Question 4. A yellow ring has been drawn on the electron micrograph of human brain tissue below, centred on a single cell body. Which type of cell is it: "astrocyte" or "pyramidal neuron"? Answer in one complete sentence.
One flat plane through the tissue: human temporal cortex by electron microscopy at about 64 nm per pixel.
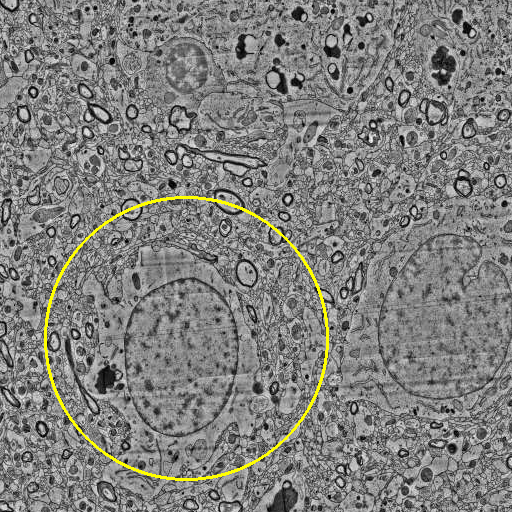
This cell body belongs to an astrocyte.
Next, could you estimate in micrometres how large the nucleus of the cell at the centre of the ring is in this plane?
In this plane, about 10 micrometres in length and 7 in width.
